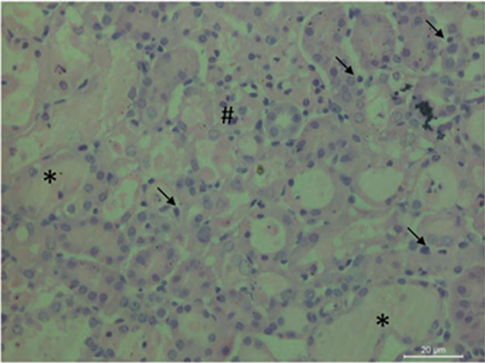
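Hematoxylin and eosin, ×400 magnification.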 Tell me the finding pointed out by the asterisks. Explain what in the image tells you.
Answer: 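The asterisks lie on pale, homogeneous pink material filling tubule lumens. The tubules holding this material are dilated, with thin epithelial linings.
Answer: renal cast formation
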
